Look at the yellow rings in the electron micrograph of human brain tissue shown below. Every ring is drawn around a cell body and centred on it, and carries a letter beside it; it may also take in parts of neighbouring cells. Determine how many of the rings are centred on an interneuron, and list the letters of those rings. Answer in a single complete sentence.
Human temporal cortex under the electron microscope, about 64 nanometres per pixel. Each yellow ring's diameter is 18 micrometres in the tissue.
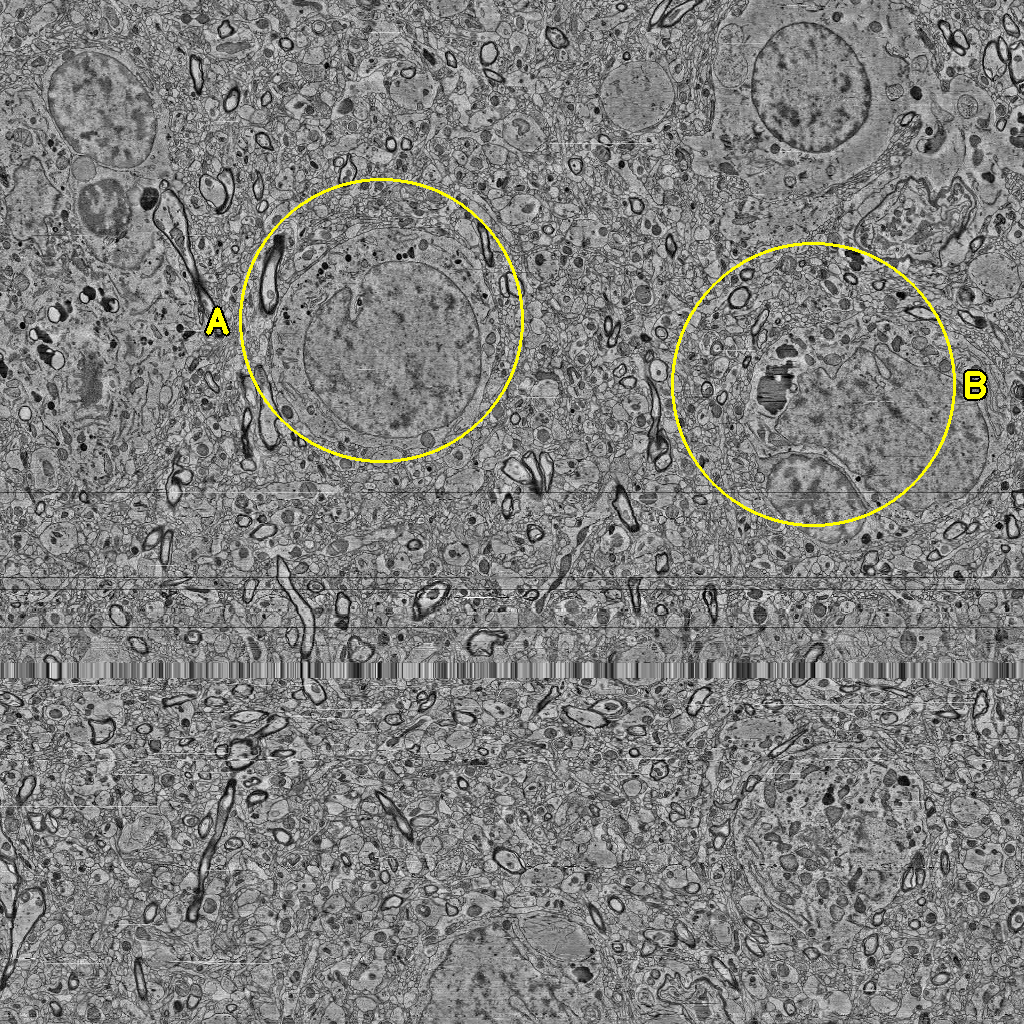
The rings labelled A and B come to two, with an interneuron at the centre of every one of them.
